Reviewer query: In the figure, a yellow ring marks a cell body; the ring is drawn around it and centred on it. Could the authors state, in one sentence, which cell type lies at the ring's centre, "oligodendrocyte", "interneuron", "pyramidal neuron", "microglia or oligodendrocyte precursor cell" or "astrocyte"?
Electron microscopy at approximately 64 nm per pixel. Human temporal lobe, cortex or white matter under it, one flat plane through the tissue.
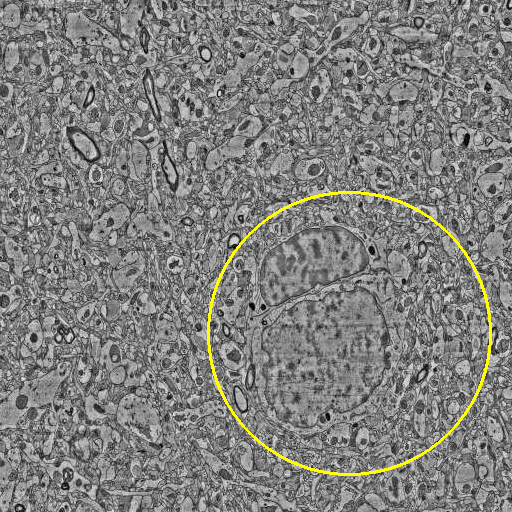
The ring is centred on an interneuron.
